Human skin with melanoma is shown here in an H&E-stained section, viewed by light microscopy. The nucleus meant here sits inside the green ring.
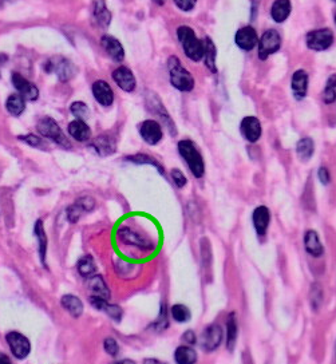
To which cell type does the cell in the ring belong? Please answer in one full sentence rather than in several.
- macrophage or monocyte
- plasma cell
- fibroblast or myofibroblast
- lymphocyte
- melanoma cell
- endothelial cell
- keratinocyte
The category to which the cell in the ring belongs is that of an endothelial cell.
